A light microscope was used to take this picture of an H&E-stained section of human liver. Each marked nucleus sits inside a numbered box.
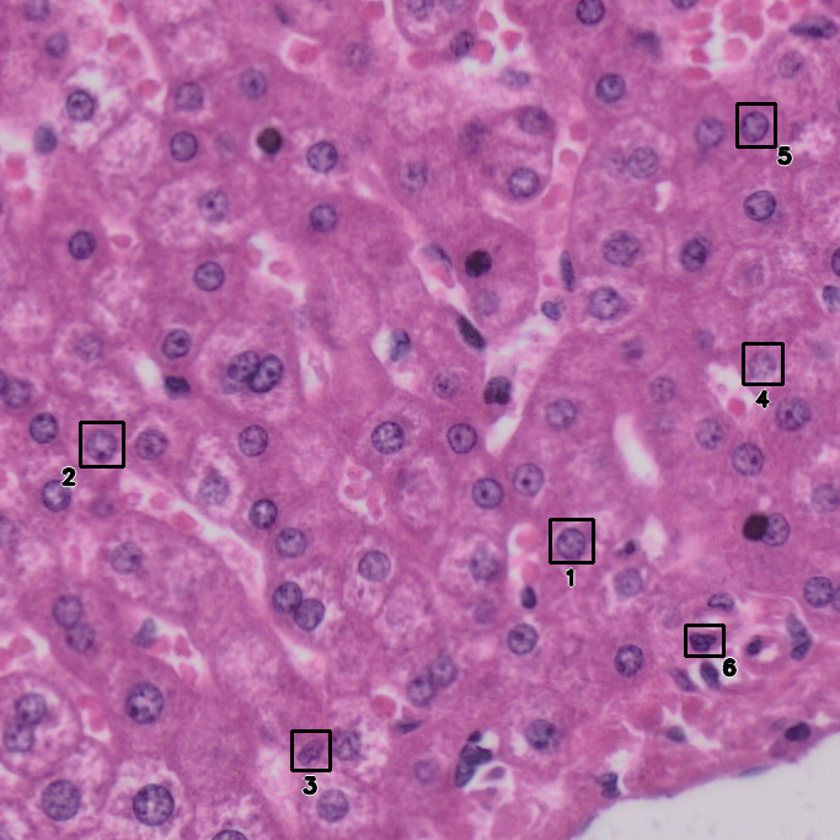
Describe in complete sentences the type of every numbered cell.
Cells 1, 2, 4 and 5 are hepatocytes. Cells 3 and 6 are fibroblasts or stellate cells.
